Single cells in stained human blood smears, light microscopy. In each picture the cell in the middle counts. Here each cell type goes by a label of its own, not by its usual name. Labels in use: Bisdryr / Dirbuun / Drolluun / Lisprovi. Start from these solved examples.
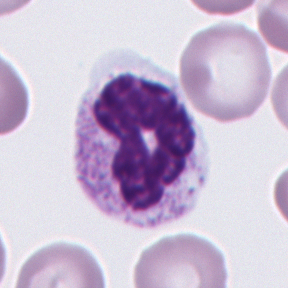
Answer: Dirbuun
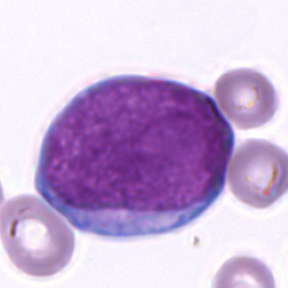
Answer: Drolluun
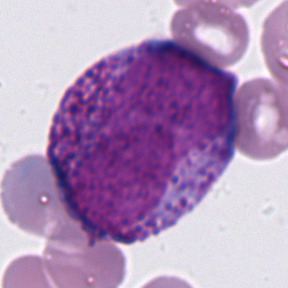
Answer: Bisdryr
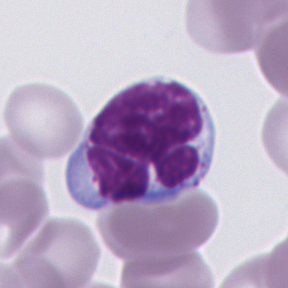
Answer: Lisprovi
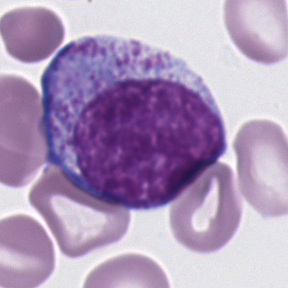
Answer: Bisdryr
